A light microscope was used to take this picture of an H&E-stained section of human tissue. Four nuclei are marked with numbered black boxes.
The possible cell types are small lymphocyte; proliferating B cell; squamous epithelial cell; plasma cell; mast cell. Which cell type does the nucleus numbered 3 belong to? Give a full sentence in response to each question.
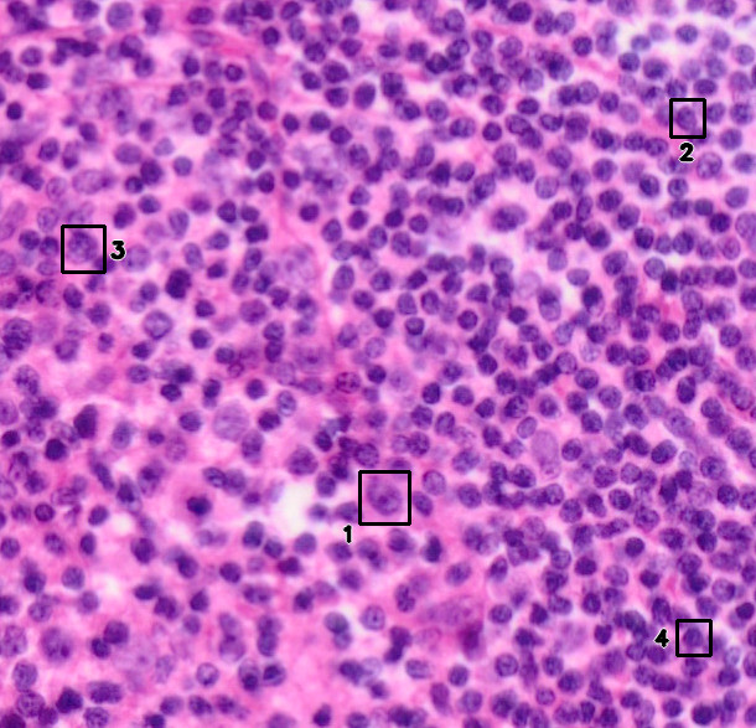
The cell that is numbered 3 is a proliferating B cell.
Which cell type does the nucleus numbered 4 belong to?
The cell referenced by the number 4 is a small lymphocyte in this field.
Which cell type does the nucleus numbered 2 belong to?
As for number 2, that cell is a small lymphocyte.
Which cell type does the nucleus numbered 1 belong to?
In this section, the cell numbered 1 is a proliferating B cell.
